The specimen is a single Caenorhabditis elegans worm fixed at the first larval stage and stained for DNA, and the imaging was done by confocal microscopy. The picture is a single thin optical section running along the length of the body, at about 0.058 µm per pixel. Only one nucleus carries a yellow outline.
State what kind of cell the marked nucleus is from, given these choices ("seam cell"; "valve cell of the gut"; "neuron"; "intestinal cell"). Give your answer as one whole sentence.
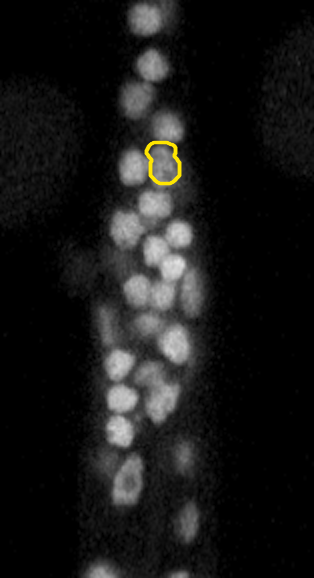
The cell with the marked nucleus is a seam cell.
